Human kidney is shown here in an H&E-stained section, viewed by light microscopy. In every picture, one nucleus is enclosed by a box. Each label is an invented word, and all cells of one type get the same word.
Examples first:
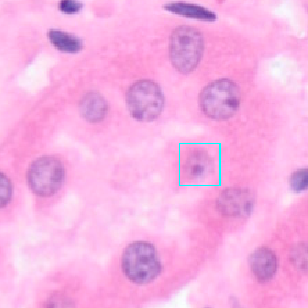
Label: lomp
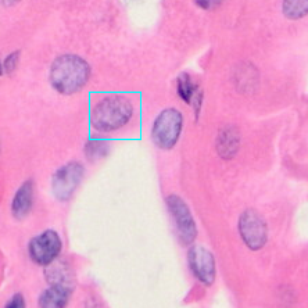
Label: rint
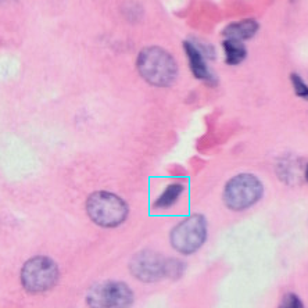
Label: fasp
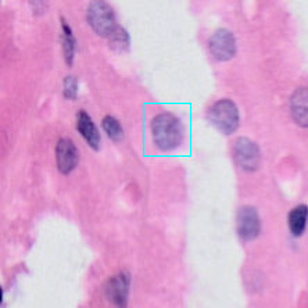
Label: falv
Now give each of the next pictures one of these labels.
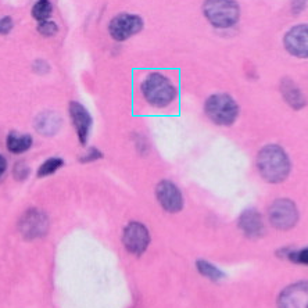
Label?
falv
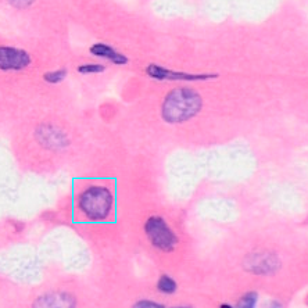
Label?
lomp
